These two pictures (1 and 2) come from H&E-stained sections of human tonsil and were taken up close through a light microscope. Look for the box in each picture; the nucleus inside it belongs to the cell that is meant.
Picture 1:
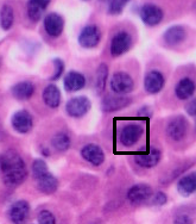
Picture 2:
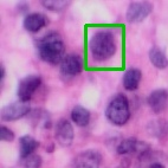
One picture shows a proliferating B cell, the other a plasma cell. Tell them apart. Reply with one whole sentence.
In picture 1 the cell is a plasma cell; in picture 2, a proliferating B cell.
